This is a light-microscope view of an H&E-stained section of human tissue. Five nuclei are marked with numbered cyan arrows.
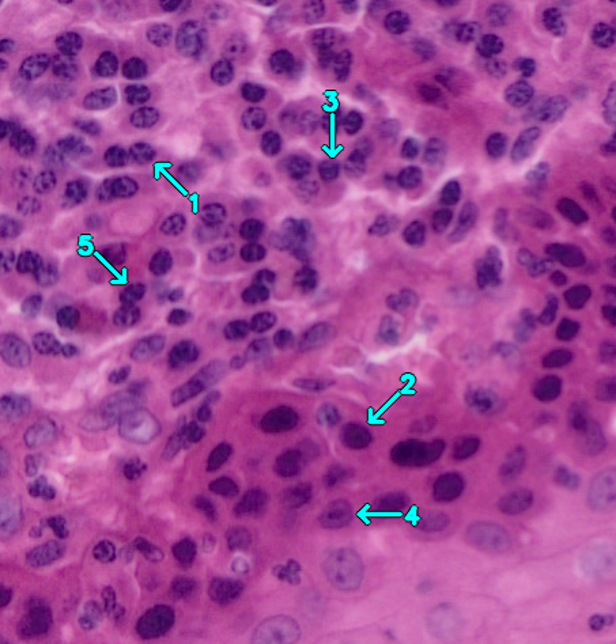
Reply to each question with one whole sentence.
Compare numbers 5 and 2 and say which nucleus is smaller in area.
Nucleus 5 covers less area, with nucleus 2 about 2 times as large.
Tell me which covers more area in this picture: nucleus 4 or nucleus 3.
Nucleus 4 is larger, with an area about 1.5 times that of nucleus 3.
